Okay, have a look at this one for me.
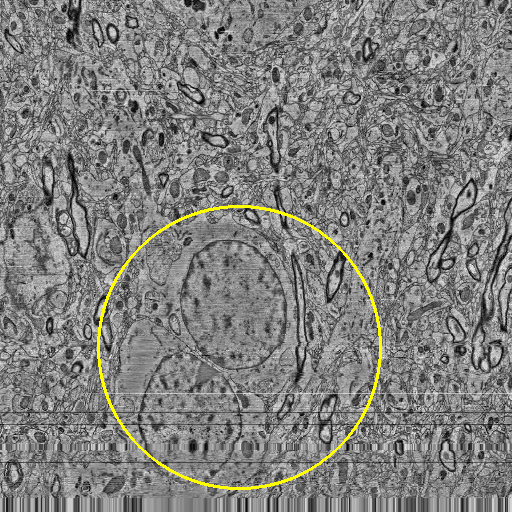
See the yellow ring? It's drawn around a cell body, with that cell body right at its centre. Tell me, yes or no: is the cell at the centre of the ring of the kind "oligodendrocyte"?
No, it belongs to another kind.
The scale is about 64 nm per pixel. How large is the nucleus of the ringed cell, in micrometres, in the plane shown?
In this plane the nucleus is about 9 micrometres by 7.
